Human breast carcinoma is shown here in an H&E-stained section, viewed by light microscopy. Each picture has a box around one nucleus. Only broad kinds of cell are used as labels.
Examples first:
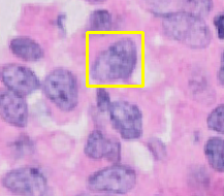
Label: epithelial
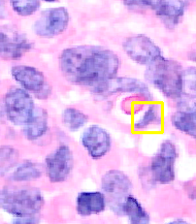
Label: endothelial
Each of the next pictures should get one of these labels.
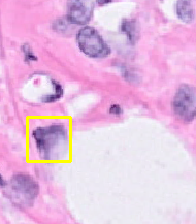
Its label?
epithelial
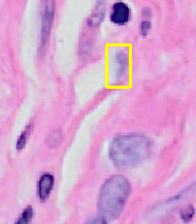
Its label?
endothelial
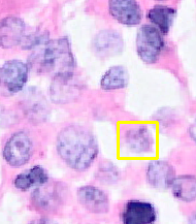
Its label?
epithelial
